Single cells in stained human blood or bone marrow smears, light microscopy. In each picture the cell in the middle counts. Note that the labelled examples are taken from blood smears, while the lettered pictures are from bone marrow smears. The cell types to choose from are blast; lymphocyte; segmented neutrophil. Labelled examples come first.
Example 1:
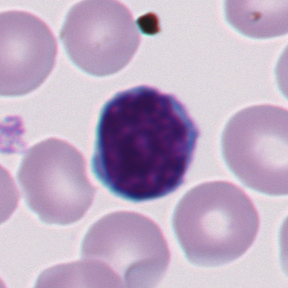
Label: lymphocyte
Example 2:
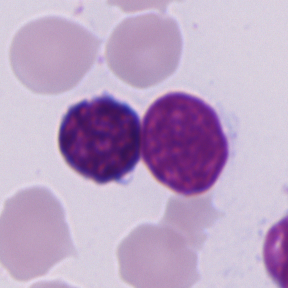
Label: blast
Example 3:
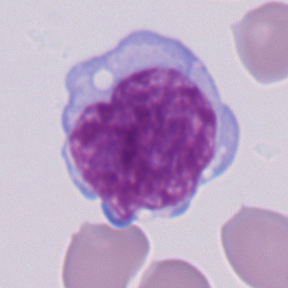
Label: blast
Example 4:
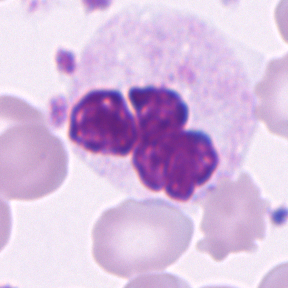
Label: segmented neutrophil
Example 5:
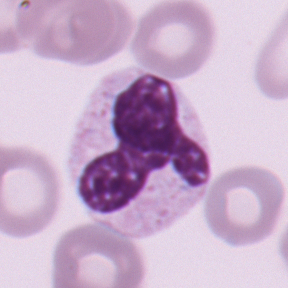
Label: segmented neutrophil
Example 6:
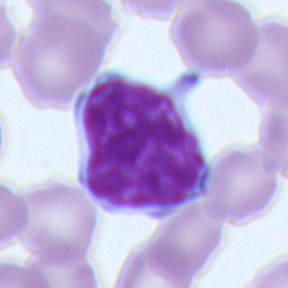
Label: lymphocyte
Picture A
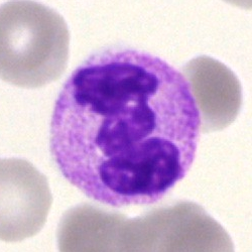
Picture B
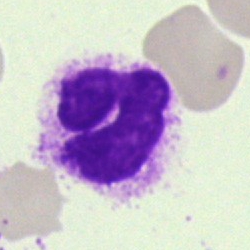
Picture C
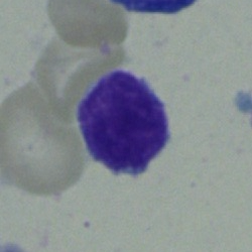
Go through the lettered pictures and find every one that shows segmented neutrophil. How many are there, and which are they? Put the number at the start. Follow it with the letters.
Count: 2 (A, B)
